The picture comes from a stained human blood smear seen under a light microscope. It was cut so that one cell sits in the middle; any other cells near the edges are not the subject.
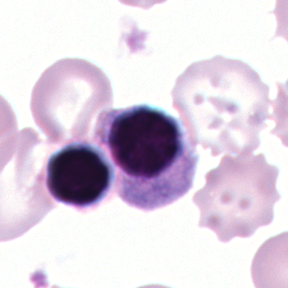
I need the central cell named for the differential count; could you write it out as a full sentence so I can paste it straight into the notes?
To answer, the cell in the center of the crop is a normoblast.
